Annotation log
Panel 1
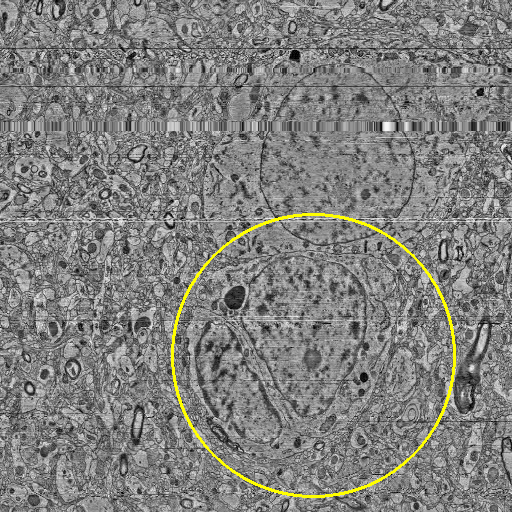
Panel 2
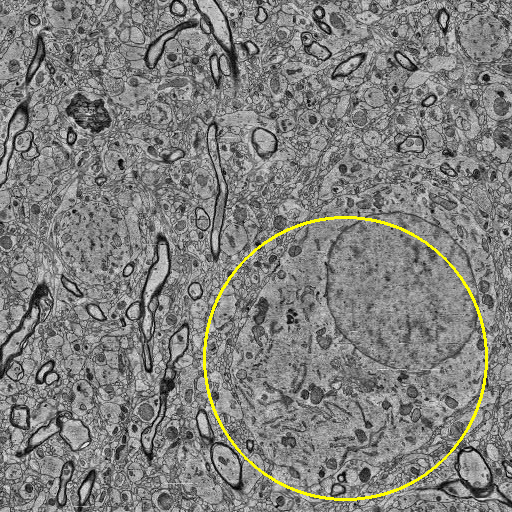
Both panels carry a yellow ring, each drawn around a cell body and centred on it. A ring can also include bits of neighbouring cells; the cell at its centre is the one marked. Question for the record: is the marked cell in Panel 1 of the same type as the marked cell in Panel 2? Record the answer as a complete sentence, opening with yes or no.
Yes, the marked cells in Panel 1 and Panel 2 are of the same type.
